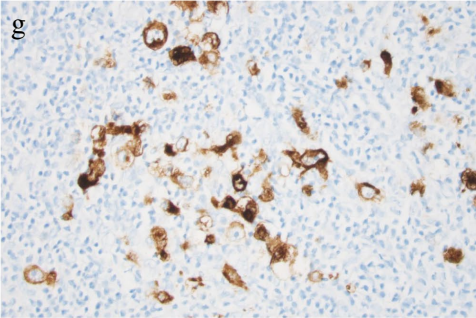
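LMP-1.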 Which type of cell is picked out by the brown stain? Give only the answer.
Atypical cells.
